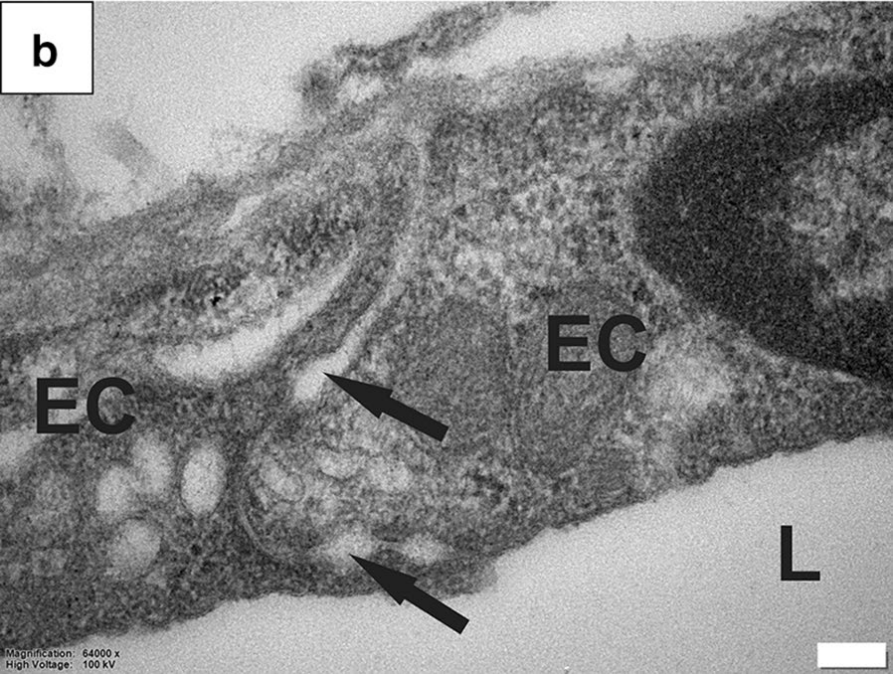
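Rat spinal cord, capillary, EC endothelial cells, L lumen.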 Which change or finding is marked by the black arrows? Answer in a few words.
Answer: Local swelling and dilation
